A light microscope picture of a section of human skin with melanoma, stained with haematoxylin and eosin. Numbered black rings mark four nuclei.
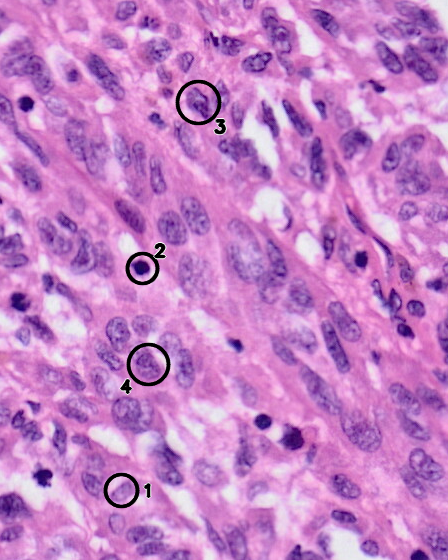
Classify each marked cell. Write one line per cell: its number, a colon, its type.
1: melanoma cell
2: lymphocyte
3: melanoma cell
4: melanoma cell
